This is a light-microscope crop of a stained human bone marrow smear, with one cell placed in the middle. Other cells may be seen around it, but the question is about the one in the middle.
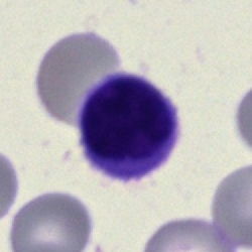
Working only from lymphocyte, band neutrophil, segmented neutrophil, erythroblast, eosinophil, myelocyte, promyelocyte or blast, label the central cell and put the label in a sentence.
Among the cells in view, the one in the middle is a lymphocyte.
